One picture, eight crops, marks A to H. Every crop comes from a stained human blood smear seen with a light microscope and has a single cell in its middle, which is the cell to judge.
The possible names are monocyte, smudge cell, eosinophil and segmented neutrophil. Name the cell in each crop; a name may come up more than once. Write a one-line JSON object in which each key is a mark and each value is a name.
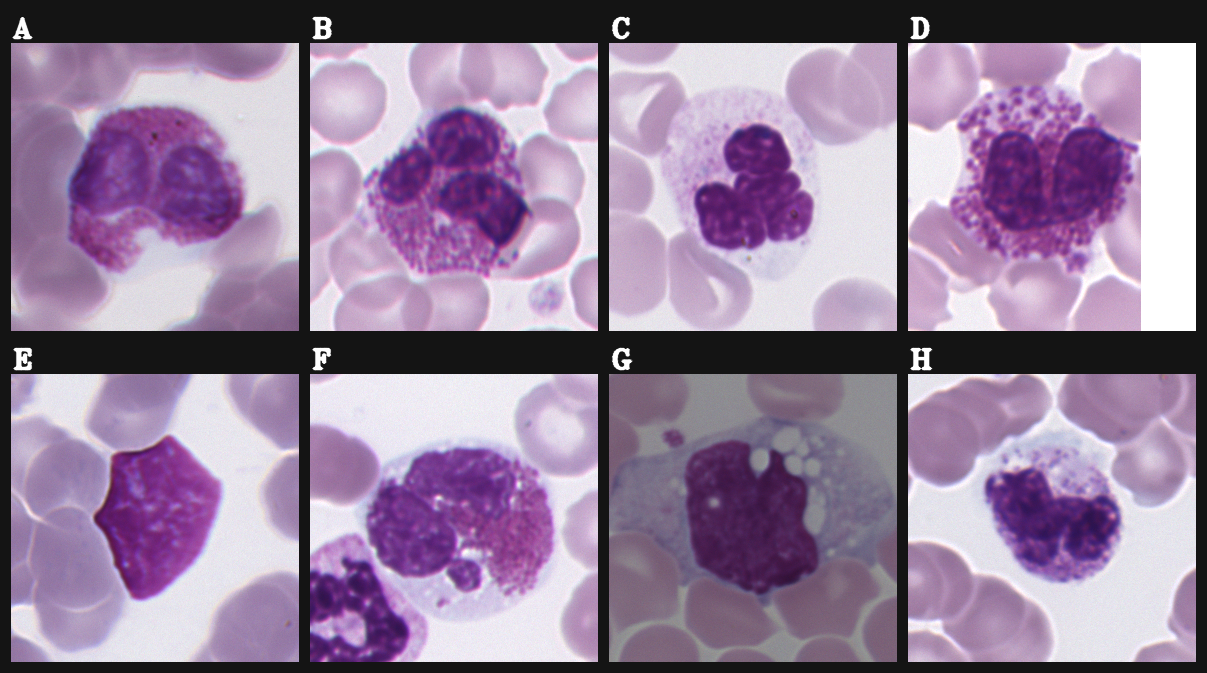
{"A": "eosinophil", "B": "eosinophil", "C": "segmented neutrophil", "D": "eosinophil", "E": "smudge cell", "F": "eosinophil", "G": "monocyte", "H": "segmented neutrophil"}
